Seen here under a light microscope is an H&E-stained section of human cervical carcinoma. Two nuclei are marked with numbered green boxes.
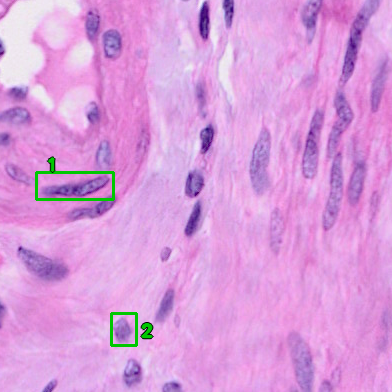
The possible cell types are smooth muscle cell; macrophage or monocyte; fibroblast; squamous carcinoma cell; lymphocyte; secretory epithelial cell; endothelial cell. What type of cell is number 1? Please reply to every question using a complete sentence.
The cell bearing label 1 corresponds to a smooth muscle cell.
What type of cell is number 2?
Numbered cell 2 is a fibroblast in this tissue section.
